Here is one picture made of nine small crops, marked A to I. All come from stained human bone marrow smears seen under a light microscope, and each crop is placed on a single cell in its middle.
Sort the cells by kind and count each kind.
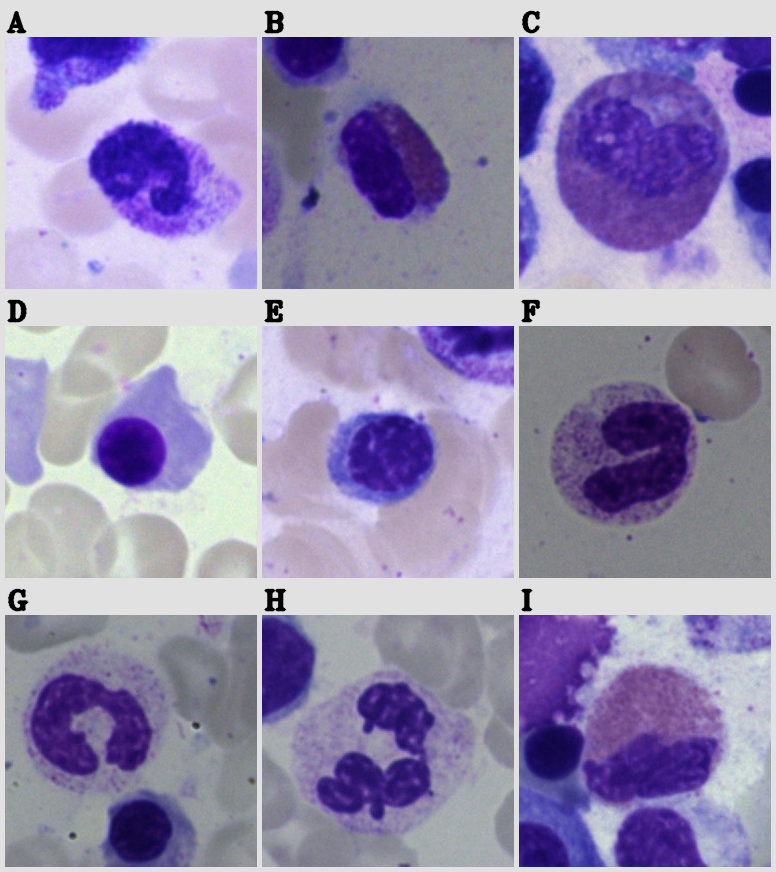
neutrophil: 4
eosinophil: 3
normoblast: 2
